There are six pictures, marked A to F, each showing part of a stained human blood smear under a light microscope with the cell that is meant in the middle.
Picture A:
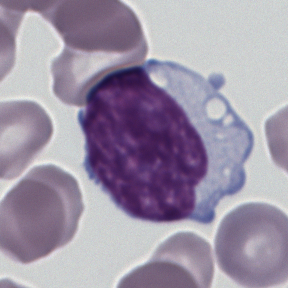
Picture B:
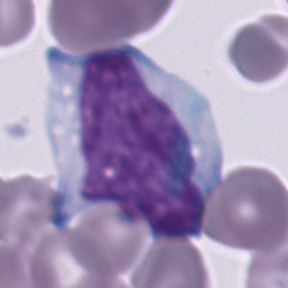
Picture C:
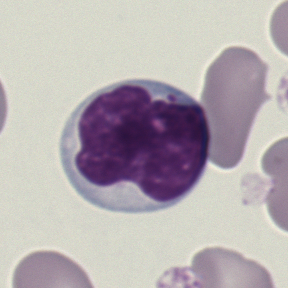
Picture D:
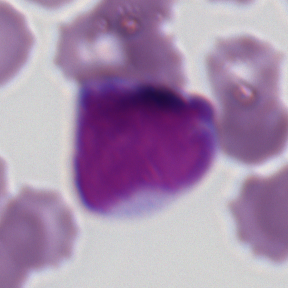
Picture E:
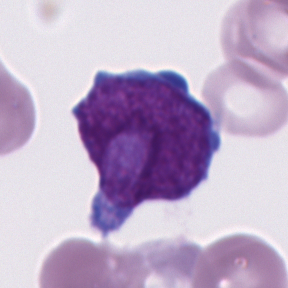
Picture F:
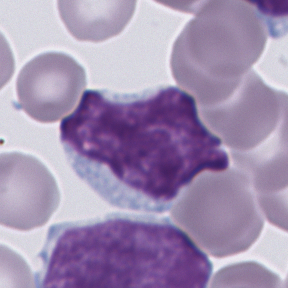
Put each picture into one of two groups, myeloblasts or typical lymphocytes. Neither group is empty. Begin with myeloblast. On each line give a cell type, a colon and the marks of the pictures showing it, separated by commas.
myeloblast: A, B, D, E
typical lymphocyte: C, F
